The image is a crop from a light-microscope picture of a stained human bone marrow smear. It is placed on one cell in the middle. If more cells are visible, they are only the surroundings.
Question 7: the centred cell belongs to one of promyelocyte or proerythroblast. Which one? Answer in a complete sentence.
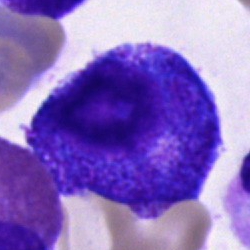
Seen at the centre of the crop is a promyelocyte.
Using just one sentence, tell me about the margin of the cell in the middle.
The cell margin is rough and uneven, either ragged or drawn into projections.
